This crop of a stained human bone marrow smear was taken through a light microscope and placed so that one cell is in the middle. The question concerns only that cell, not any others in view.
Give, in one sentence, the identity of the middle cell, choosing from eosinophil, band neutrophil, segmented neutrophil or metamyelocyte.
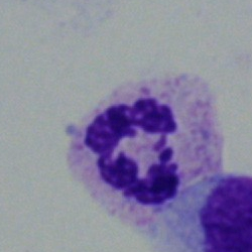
Looking at the middle of the crop, the cell there is a segmented neutrophil.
